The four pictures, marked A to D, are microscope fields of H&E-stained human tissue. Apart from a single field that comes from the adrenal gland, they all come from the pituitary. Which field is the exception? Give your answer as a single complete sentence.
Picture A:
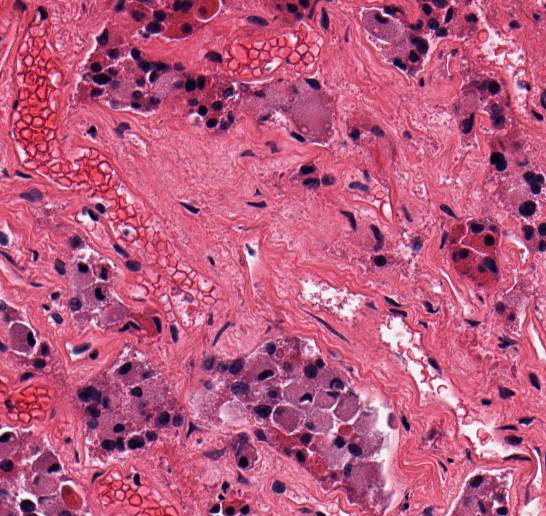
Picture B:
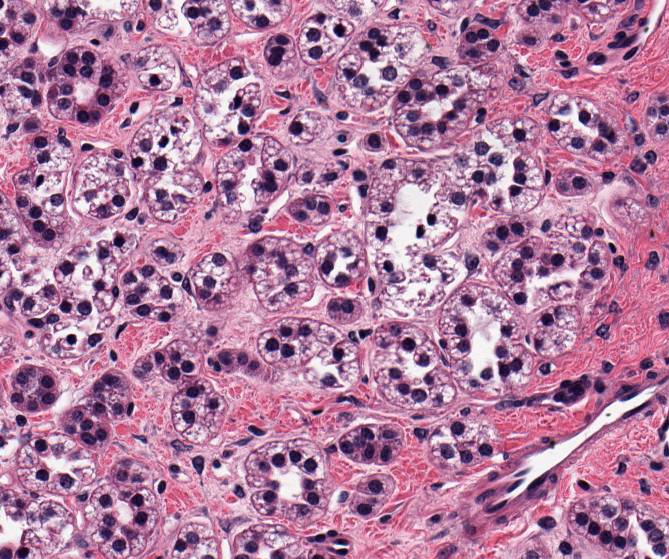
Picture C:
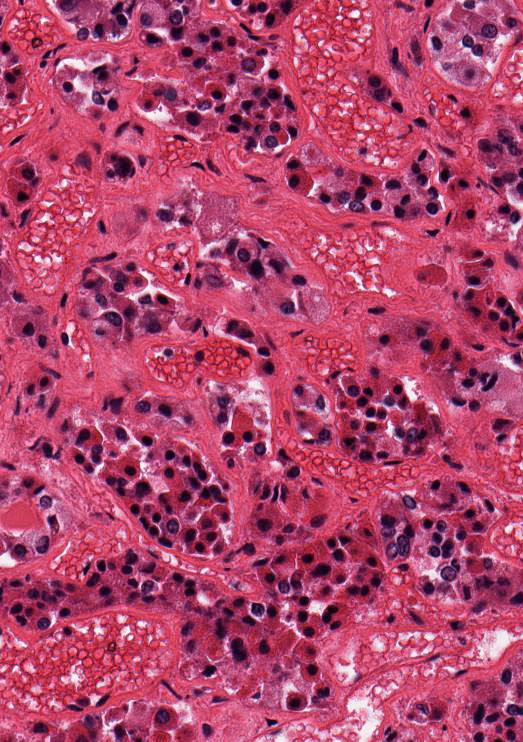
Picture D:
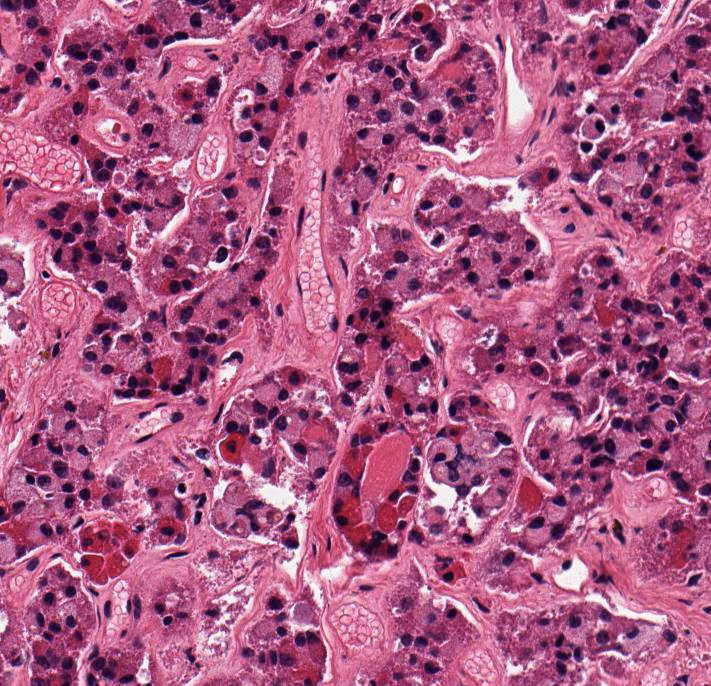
Picture B is the field that comes from the adrenal gland.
